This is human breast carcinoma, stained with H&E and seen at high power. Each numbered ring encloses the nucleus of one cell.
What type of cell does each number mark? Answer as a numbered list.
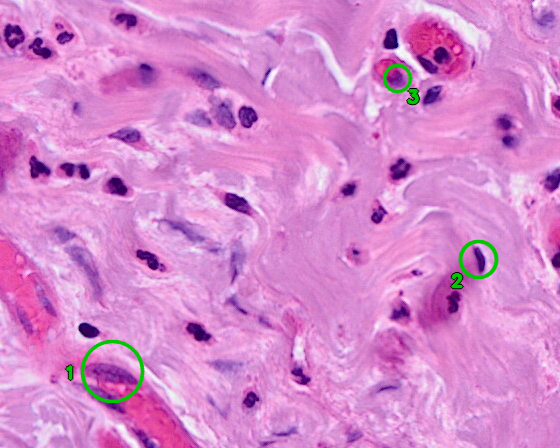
1. endothelial cell
2. fibroblast
3. endothelial cell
